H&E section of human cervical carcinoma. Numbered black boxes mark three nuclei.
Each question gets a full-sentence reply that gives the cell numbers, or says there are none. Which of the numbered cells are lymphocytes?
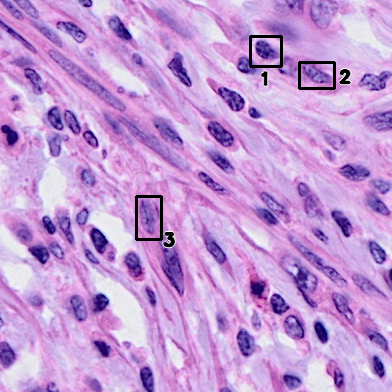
Nothing but cell 1 is a lymphocyte among the numbered ones.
